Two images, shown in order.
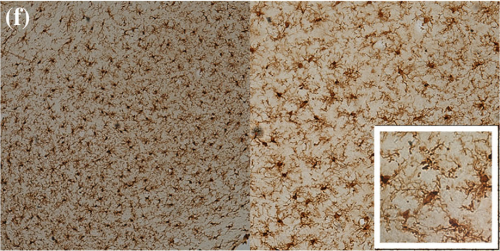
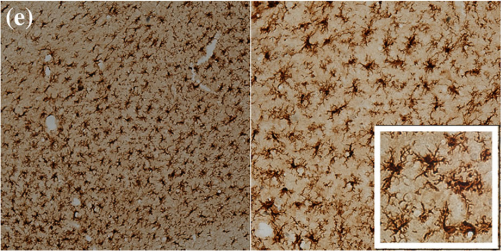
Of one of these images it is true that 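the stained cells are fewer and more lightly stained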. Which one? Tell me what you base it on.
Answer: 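Second image: dense field of darkly stained cells with thick processes.
The first image.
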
